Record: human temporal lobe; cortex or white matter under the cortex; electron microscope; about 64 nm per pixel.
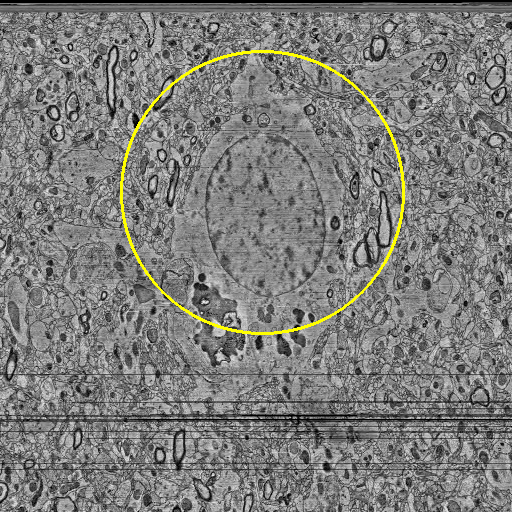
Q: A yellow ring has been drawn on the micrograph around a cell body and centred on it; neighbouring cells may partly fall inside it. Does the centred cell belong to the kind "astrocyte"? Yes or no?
Yes, it belongs to that kind.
